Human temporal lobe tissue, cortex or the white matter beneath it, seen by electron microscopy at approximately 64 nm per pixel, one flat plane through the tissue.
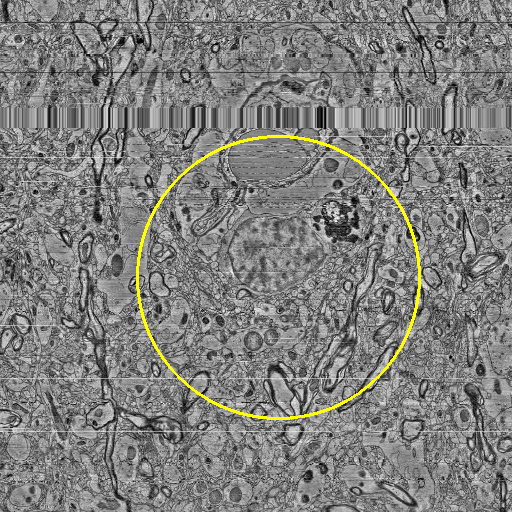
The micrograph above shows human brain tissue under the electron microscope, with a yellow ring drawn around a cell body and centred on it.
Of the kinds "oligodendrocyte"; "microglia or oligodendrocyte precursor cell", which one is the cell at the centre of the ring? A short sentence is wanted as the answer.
The one at the centre of the ring is an oligodendrocyte.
